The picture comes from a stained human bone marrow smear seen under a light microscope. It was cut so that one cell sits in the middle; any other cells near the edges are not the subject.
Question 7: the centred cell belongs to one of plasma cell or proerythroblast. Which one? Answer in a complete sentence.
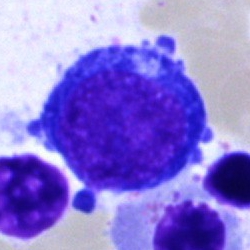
The centrally located cell in the crop is a proerythroblast.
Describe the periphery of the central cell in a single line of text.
An irregular outline, ragged or marked by projections, surrounds this cell.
